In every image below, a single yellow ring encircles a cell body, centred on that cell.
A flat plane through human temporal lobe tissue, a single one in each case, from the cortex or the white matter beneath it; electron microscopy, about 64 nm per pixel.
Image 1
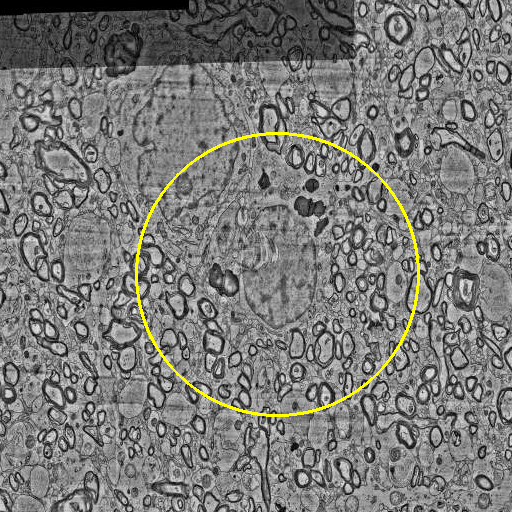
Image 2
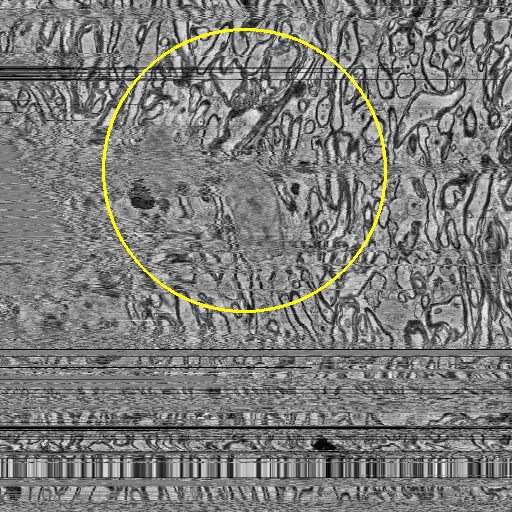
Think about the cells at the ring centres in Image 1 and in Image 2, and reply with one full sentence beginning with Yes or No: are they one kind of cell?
Yes, the cells centred in the rings of Image 1 and Image 2 are one kind of cell.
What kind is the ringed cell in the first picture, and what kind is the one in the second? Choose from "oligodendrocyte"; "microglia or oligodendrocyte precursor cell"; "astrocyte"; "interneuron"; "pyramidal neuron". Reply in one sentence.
Each of the two pictures has an oligodendrocyte at the ring centre.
